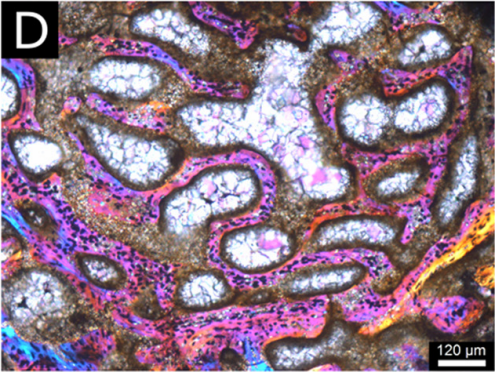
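The struts enclose rounded and lobed white spaces of varying size. Within the struts lie numerous small dark osteocyte lacunae, densely and irregularly scattered rather than arranged in orderly rows.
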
